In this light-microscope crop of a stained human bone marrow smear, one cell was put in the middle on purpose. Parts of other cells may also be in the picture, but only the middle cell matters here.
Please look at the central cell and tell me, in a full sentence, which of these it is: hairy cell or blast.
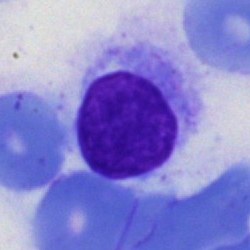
Classification of the middle cell gives a hairy cell.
